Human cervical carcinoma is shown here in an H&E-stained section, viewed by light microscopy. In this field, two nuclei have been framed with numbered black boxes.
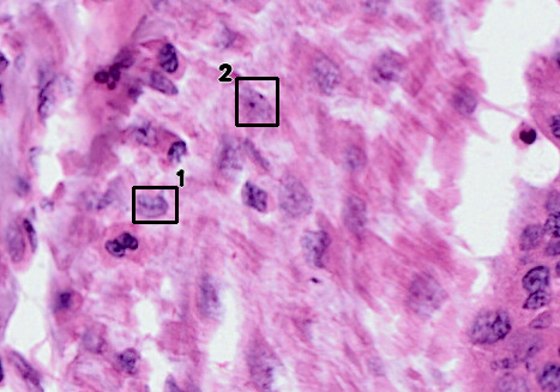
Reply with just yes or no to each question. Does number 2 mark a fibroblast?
yes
